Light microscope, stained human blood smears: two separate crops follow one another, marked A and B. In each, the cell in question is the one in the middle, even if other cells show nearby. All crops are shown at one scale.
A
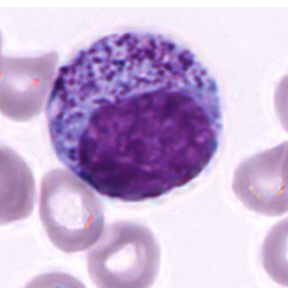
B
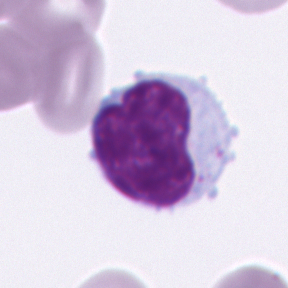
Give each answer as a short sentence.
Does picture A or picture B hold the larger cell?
The cell in picture A is larger, with about 1.5 times the area of the one in picture B.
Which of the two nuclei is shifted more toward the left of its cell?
It is the nucleus in picture B that lies further toward the left of its cell.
